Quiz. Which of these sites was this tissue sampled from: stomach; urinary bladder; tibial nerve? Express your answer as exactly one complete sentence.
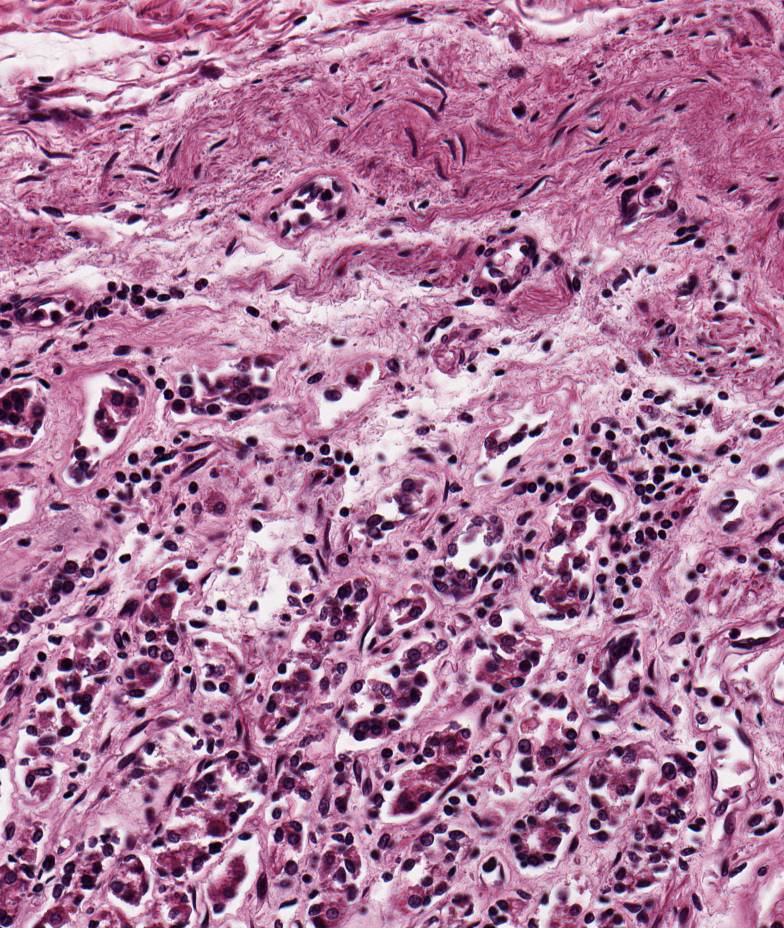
The human tissue in this section was sampled from the stomach.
